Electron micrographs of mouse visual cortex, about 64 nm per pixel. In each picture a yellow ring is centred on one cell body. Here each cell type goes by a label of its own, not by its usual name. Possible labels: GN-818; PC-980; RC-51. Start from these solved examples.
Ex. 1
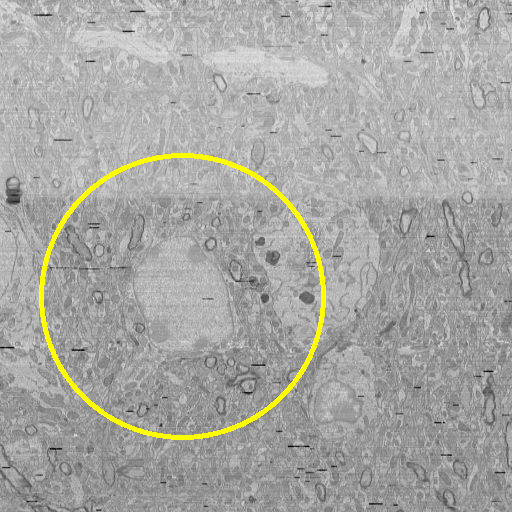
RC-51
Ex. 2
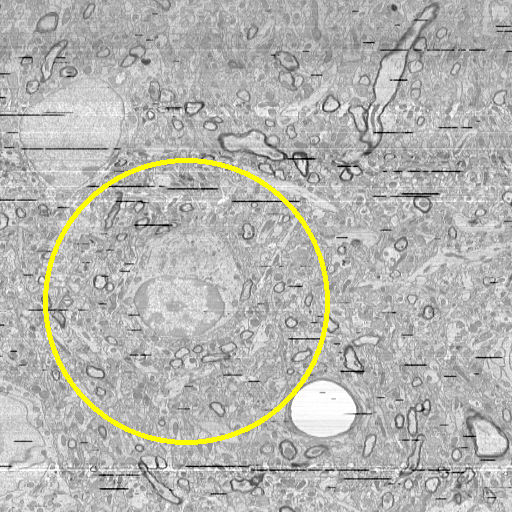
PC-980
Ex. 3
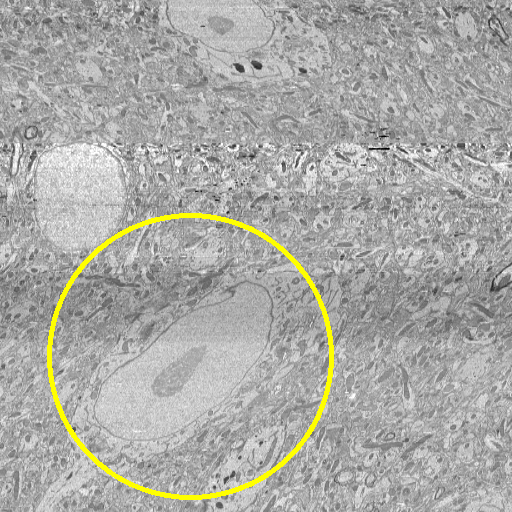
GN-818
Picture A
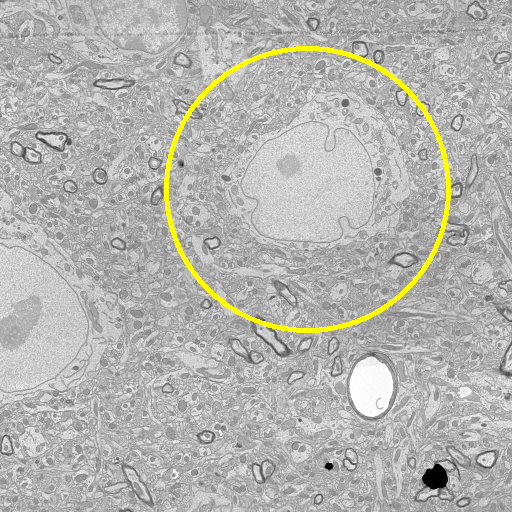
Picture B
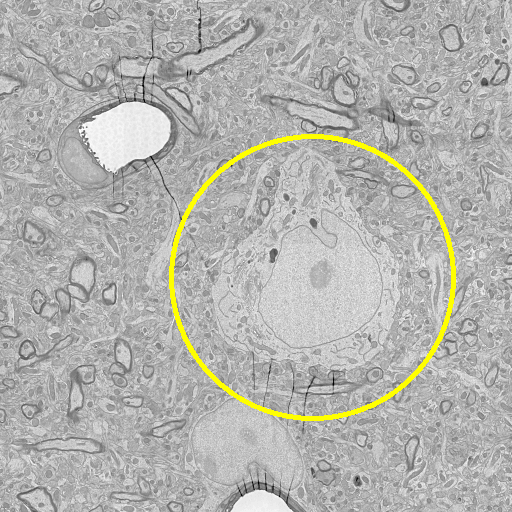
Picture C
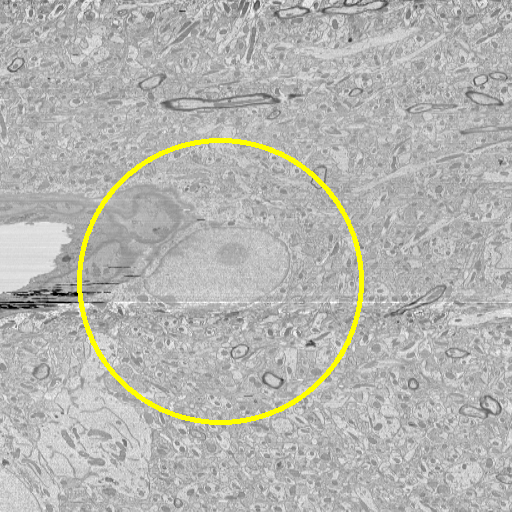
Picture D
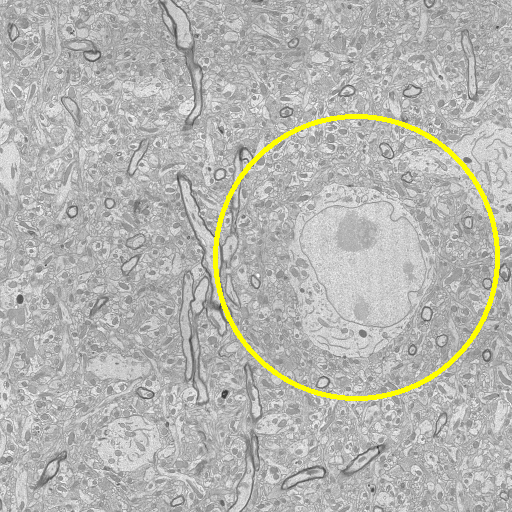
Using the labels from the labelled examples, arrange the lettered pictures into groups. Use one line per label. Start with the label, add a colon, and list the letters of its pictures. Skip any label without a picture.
GN-818: A, B, D
RC-51: C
